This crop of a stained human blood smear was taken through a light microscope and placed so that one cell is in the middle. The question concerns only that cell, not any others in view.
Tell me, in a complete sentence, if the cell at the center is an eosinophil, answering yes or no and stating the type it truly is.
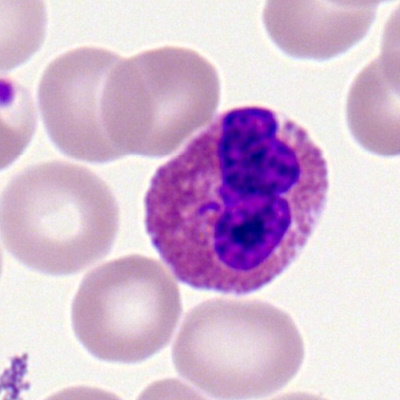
Yes, the cell in the central position is an eosinophil.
